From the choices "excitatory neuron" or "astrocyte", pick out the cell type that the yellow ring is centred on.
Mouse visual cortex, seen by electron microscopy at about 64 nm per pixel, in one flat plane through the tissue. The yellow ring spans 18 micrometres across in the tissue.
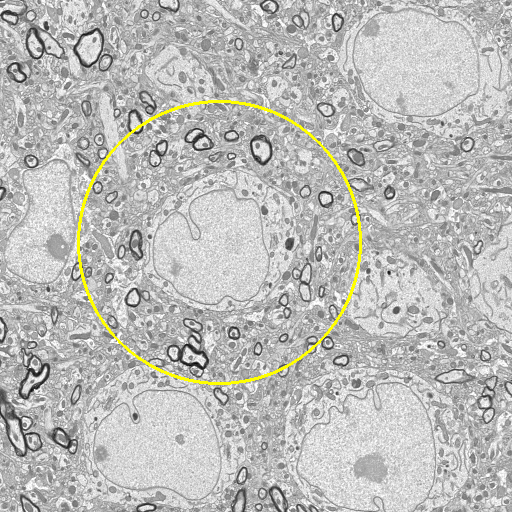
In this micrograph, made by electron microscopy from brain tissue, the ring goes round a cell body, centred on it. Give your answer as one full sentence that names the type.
The yellow ring is centred on an excitatory neuron, whose cell body it encircles in the picture.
